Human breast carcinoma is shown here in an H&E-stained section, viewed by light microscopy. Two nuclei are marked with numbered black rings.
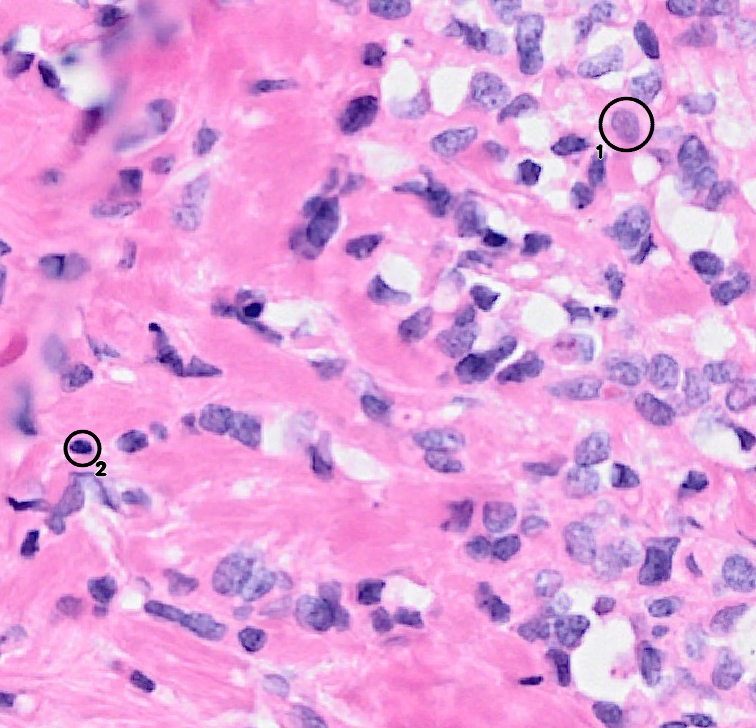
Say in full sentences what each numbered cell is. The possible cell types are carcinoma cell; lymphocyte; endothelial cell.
Cell 1 is a carcinoma cell and cell 2 is a lymphocyte.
